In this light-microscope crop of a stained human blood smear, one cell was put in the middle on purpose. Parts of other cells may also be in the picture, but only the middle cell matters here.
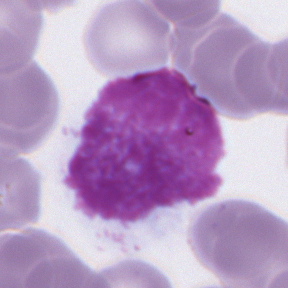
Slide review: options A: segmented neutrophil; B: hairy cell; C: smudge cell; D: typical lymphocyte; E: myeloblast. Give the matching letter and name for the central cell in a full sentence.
The middle cell of the crop is a smudge cell; accordingly, option C is correct.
